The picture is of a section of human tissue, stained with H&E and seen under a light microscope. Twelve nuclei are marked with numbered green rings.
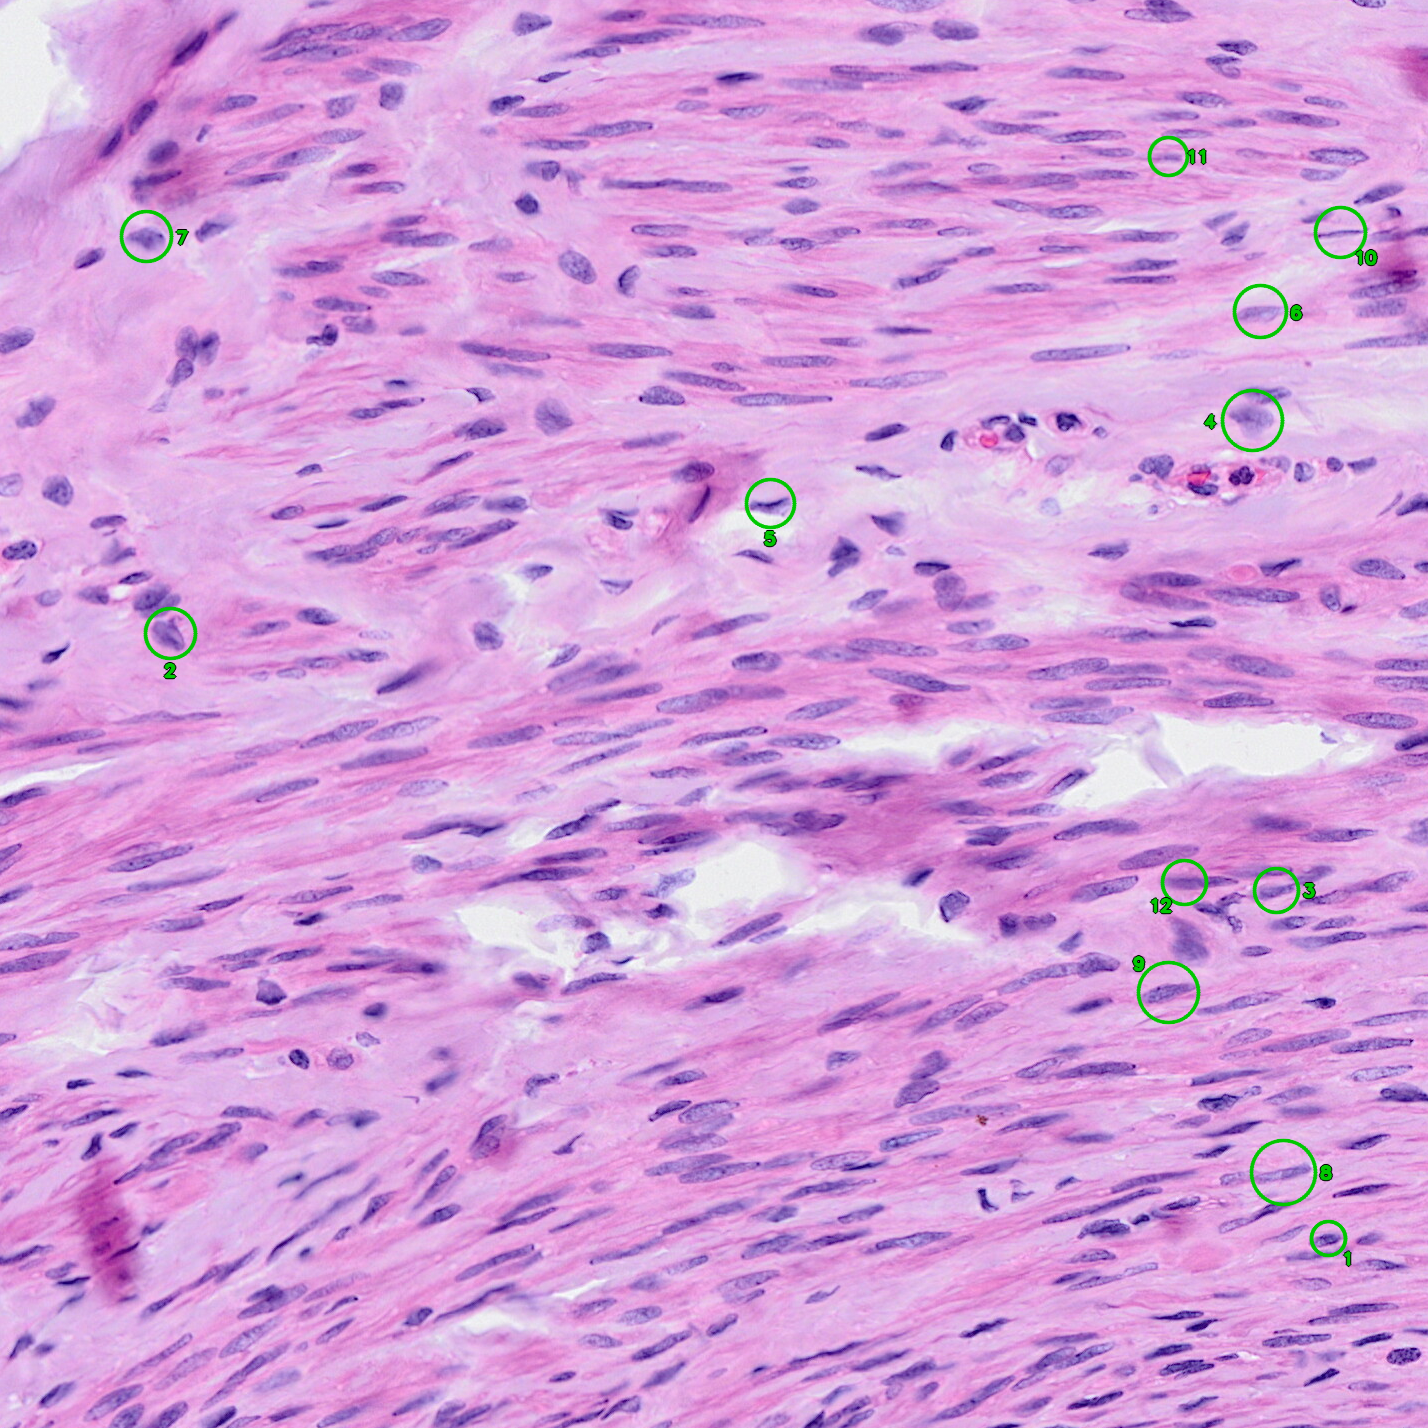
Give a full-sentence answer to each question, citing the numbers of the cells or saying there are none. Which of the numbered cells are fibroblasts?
On this slide, the cells numbered 2, 4, 5, 7 and 10 are fibroblasts.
